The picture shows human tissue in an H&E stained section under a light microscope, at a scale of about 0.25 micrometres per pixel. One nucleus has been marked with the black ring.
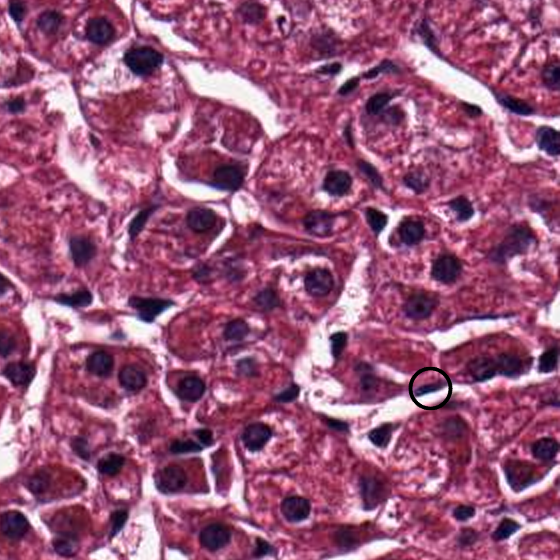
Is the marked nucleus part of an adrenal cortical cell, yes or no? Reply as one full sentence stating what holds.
No, the marked nucleus is located in a supporting cell and not in an adrenal cortical cell.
